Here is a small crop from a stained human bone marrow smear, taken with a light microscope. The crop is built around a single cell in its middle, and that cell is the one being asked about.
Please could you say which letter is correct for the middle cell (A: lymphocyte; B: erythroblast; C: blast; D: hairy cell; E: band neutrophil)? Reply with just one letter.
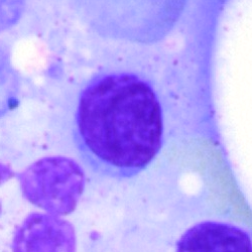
A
